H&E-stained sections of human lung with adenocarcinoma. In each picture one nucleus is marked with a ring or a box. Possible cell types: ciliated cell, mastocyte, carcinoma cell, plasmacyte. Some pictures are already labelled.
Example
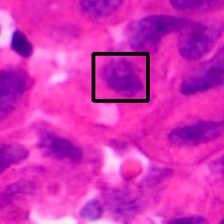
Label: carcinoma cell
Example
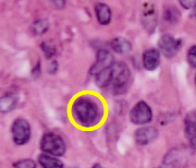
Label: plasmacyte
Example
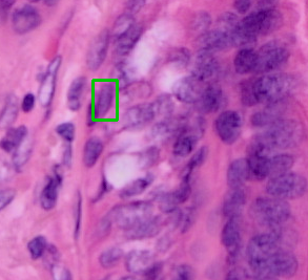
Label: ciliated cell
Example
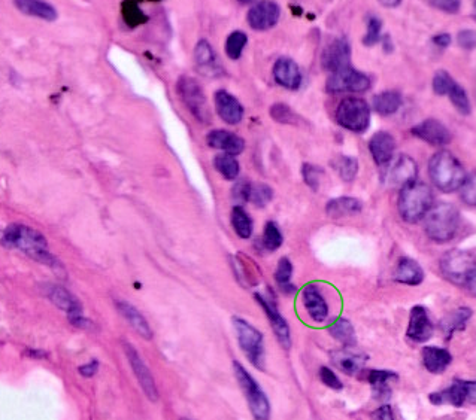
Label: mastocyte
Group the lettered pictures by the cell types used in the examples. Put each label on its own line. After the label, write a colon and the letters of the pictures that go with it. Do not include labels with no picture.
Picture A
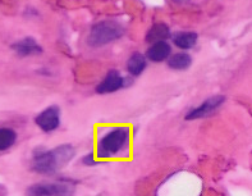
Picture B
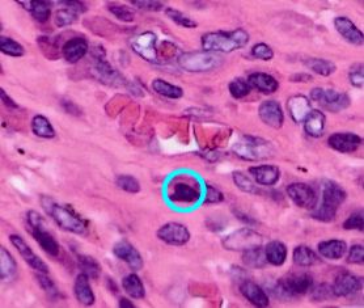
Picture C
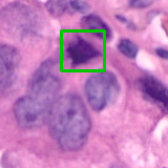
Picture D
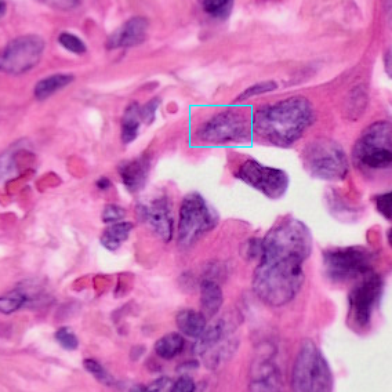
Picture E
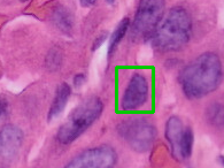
carcinoma cell: C, D, E
plasmacyte: A, B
